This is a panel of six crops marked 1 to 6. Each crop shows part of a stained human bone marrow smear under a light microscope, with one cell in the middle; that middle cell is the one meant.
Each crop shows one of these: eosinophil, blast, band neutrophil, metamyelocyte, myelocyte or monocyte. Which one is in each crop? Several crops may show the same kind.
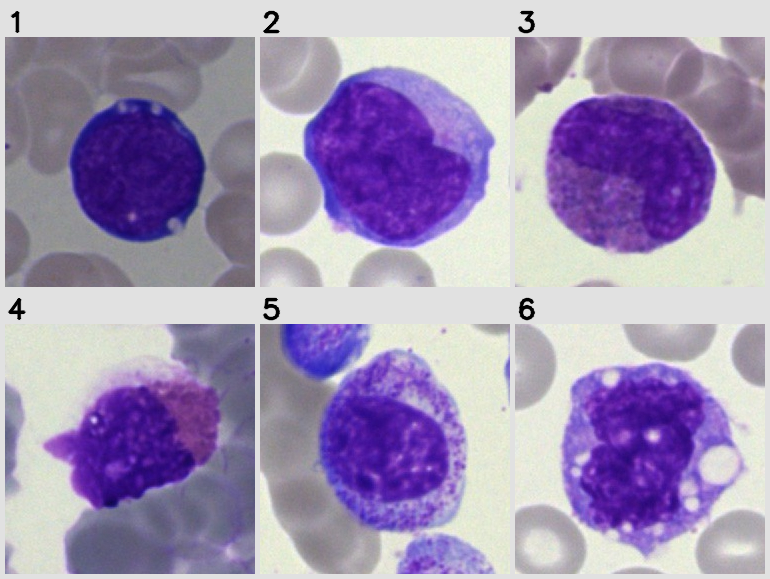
1: blast
2: blast
3: eosinophil
4: eosinophil
5: myelocyte
6: monocyte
